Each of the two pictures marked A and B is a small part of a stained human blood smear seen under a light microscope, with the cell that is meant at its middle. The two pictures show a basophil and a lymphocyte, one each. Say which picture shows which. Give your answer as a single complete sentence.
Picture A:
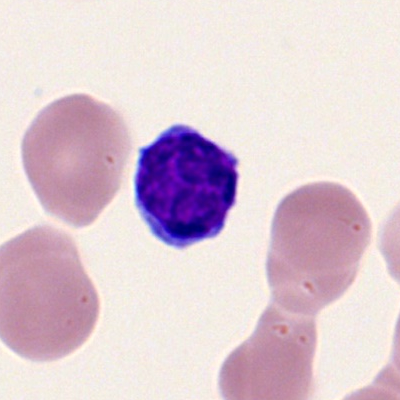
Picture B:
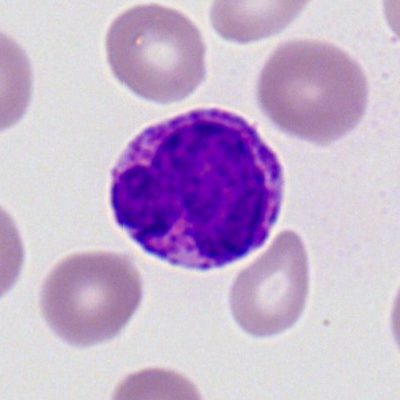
Picture A shows a lymphocyte and picture B shows a basophil.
